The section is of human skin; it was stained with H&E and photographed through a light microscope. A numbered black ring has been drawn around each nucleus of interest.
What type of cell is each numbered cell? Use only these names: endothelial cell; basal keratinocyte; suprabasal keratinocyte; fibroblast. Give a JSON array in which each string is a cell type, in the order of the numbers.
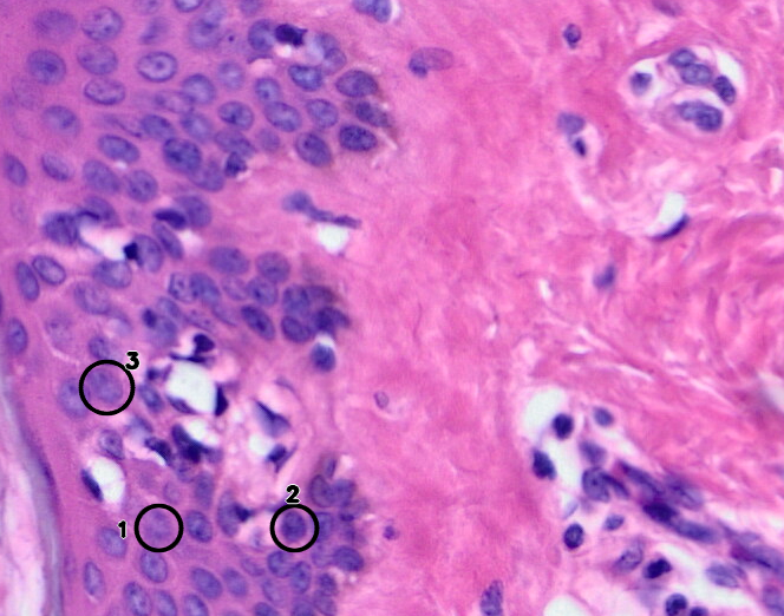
["suprabasal keratinocyte", "basal keratinocyte", "suprabasal keratinocyte"]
